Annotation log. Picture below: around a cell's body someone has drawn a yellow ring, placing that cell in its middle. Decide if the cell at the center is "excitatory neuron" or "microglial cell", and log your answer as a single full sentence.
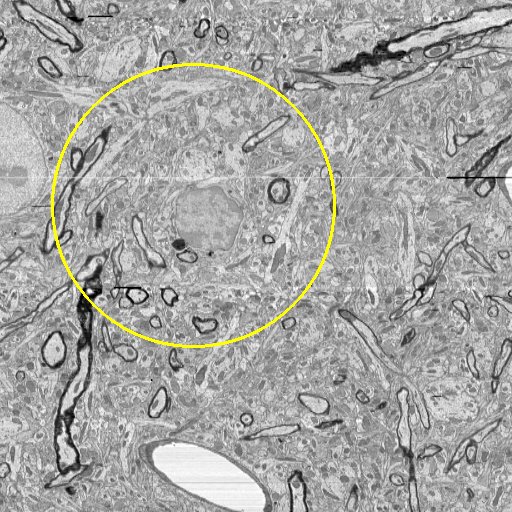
My entry records a microglial cell as the cell sitting at the center of the yellow ring.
